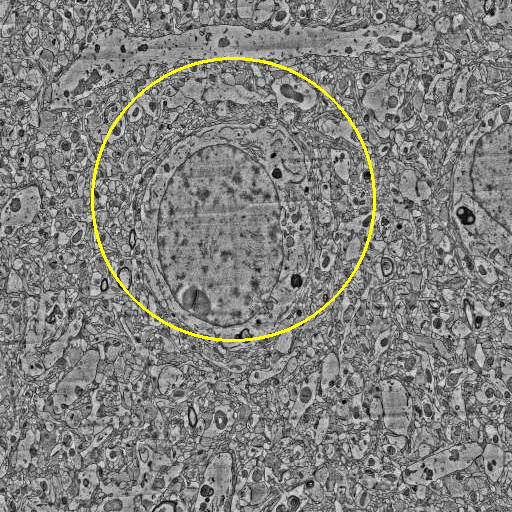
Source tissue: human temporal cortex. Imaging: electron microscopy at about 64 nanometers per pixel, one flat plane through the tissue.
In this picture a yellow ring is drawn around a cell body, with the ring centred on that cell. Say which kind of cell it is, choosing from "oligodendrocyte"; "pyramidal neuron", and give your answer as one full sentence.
Here it is a pyramidal neuron that sits at the centre of the drawn yellow ring.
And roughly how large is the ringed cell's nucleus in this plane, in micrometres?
Roughly 12 by 8 micrometres is the size of the nucleus in this plane.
